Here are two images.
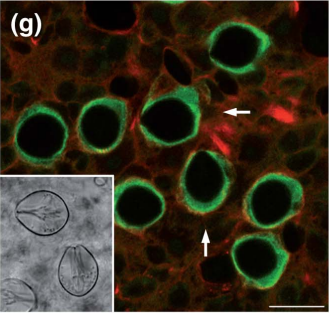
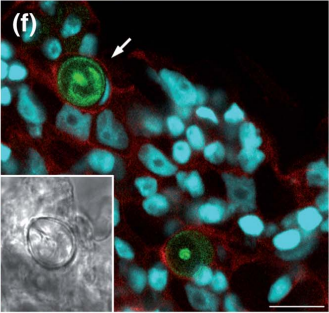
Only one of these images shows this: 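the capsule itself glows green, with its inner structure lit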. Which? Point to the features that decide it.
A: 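First image: green lies in a rim of cytoplasm around dark, unlabelled oval capsules. Second image: the capsule wall and a central structure inside the capsule are green. That points to this answer: the second image.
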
